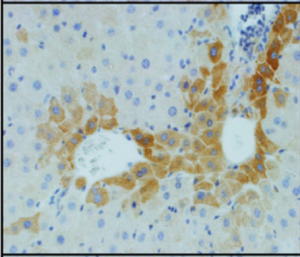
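Liver tissue with plates of large polygonal hepatocytes bearing round blue nuclei, arranged around two vessel lumens. A broad band of hepatocytes with brown-stained cytoplasm runs around and between the vessels, the staining strongest right next to the vessel walls and fading into unstained, pale cells further away. Within the stained band the cells keep their round nuclei and clear outlines. A cluster of small, dark blue nuclei lies near the vessel at the upper edge, and the lumen of the larger vessel holds faint granular material.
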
